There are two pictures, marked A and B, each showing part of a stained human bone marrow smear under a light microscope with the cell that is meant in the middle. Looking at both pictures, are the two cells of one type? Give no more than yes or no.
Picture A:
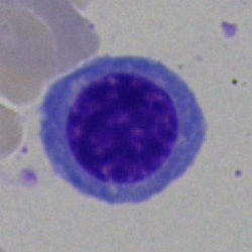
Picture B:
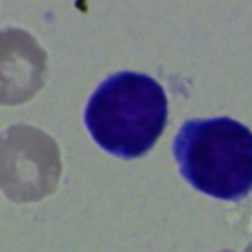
no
